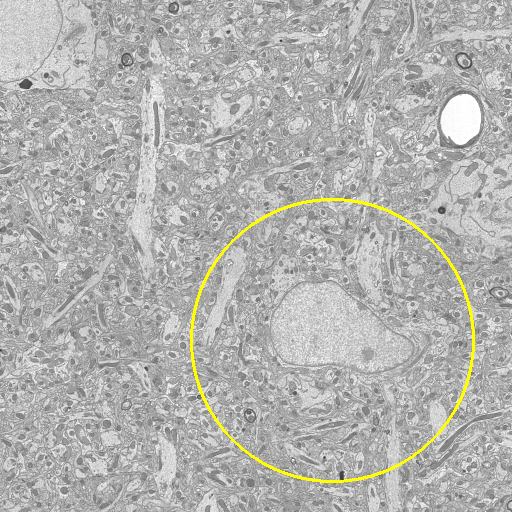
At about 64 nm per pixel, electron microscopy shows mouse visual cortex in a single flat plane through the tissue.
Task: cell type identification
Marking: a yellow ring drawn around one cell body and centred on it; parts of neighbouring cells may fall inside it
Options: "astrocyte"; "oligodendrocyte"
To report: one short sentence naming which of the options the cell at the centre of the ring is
The cell at the centre of the ring is an astrocyte.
